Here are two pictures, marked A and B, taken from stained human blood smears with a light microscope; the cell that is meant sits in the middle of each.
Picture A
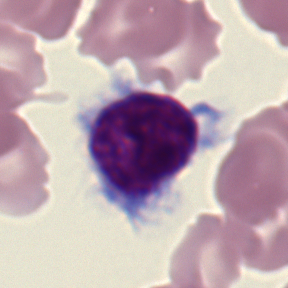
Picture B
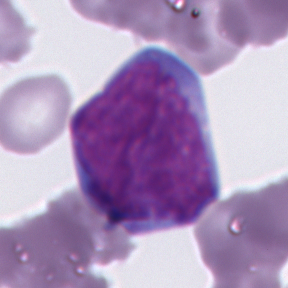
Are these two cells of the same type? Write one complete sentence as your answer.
No; the cell in picture A is a hairy cell, while the one in picture B is a myeloblast.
